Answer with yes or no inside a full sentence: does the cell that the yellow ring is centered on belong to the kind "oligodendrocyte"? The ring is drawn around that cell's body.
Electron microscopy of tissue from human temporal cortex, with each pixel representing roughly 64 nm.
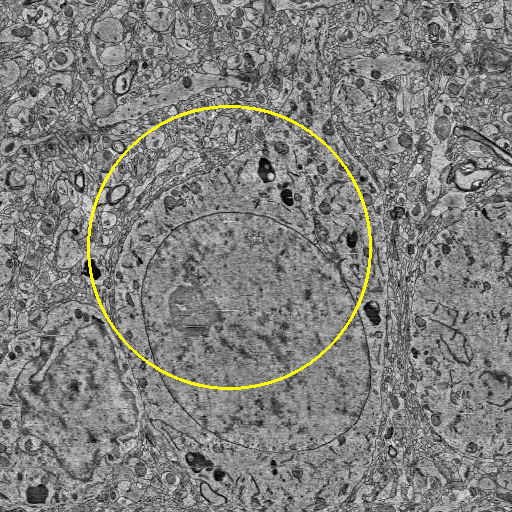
No, another kind describes the cell the yellow ring is centered on in the picture.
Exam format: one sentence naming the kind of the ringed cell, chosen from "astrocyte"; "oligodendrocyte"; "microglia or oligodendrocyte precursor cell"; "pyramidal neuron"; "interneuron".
The cell shown in the ring is a pyramidal neuron.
